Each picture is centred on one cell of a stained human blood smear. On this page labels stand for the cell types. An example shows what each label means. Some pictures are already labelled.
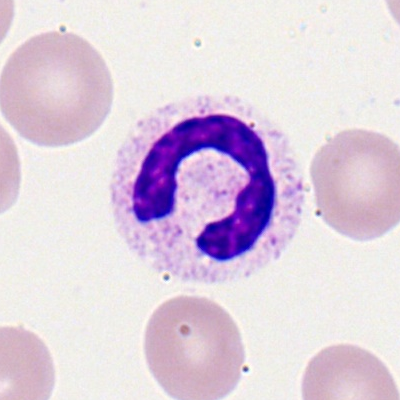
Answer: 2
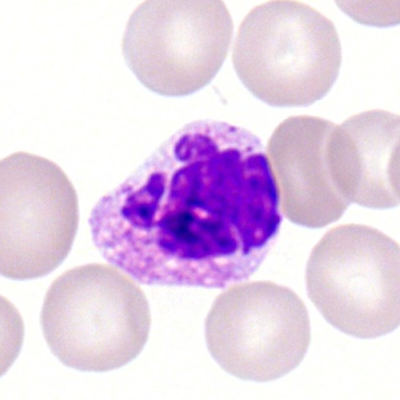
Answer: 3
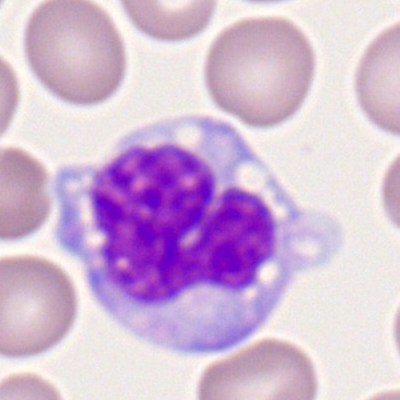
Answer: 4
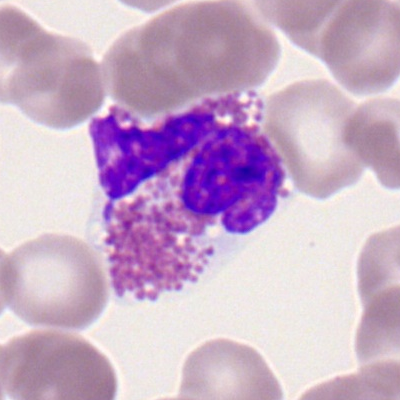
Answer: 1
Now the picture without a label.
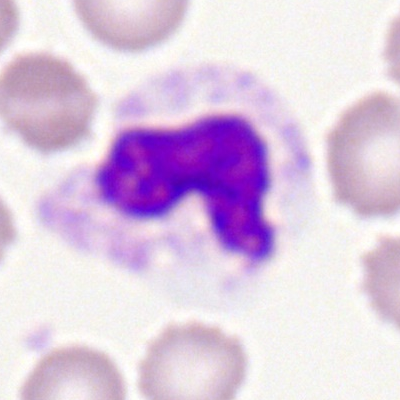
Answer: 2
